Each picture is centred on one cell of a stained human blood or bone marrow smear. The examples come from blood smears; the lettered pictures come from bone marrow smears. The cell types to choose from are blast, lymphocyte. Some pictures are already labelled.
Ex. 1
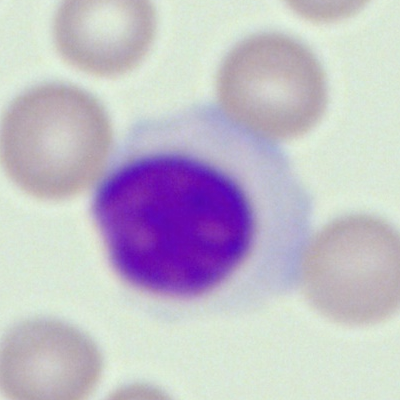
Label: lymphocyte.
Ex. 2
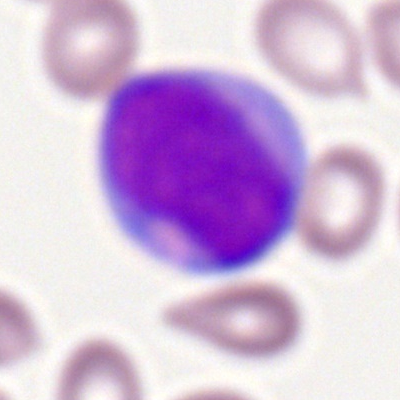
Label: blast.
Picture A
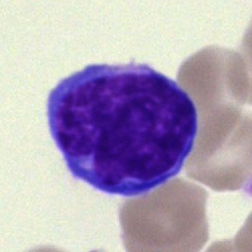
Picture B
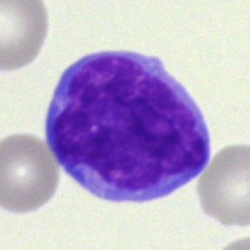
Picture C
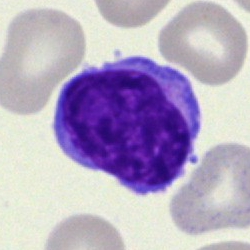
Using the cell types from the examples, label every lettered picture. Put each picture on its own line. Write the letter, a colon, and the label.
A: blast.
B: blast.
C: blast.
